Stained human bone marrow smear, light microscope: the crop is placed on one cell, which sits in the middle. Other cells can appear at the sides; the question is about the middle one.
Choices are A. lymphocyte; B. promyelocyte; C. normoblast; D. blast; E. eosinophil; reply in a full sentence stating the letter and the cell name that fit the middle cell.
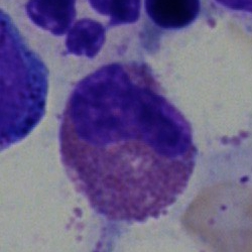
The cell in the center of this crop is an eosinophil, so option E is the one to pick.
